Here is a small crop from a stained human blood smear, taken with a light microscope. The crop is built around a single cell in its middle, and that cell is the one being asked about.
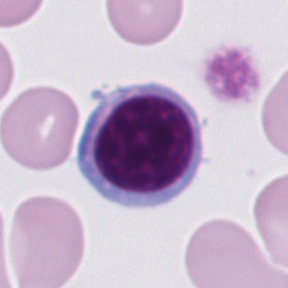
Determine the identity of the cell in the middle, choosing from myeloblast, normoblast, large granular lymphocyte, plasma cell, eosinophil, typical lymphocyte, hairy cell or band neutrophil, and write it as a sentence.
The cell centered in this field of view is a typical lymphocyte.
